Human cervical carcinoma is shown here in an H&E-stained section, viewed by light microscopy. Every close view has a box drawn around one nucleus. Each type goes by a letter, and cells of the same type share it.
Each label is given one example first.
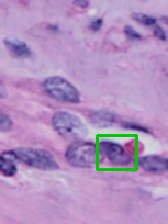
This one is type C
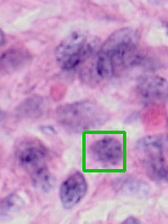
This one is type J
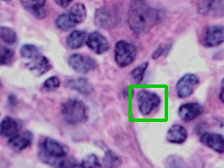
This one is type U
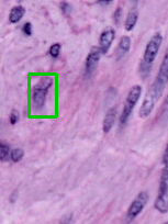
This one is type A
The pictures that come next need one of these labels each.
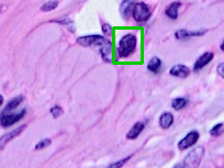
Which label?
type U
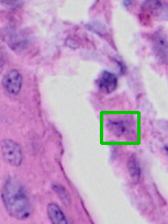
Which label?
type J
